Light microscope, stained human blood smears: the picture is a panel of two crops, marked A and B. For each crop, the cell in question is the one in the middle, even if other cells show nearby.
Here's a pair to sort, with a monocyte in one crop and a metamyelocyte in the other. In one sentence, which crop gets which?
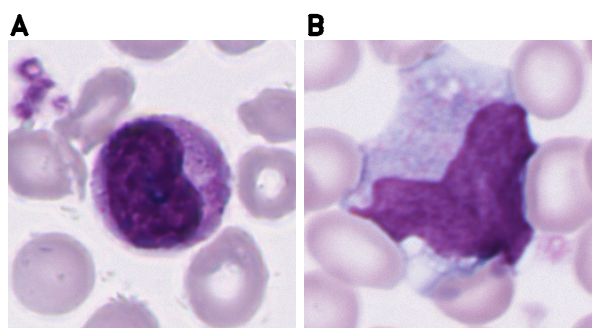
So, crop A is a metamyelocyte, and crop B is a monocyte.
